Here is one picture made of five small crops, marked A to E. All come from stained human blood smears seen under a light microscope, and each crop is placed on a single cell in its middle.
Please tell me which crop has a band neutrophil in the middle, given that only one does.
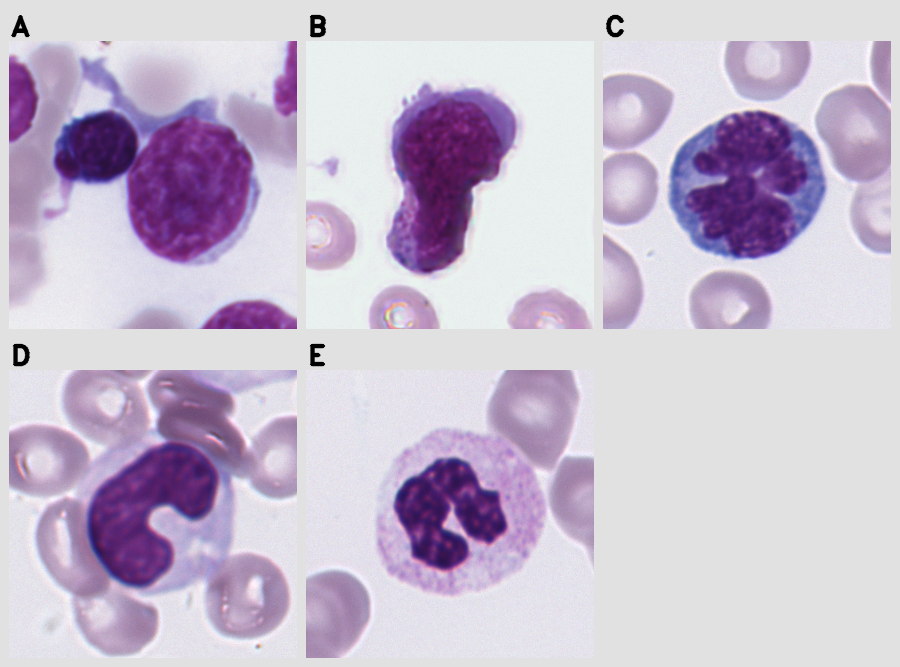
D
